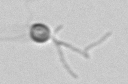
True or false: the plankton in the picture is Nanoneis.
False; it is Ophiaster.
